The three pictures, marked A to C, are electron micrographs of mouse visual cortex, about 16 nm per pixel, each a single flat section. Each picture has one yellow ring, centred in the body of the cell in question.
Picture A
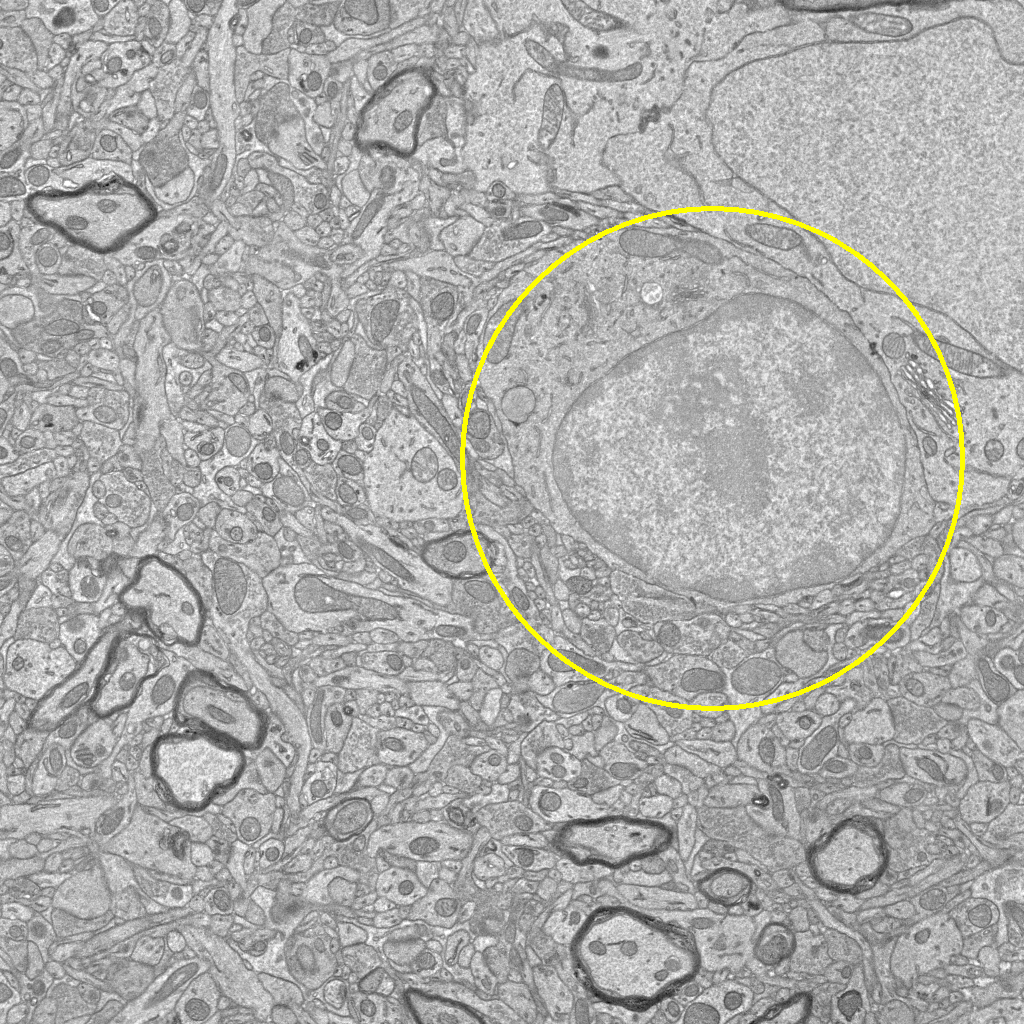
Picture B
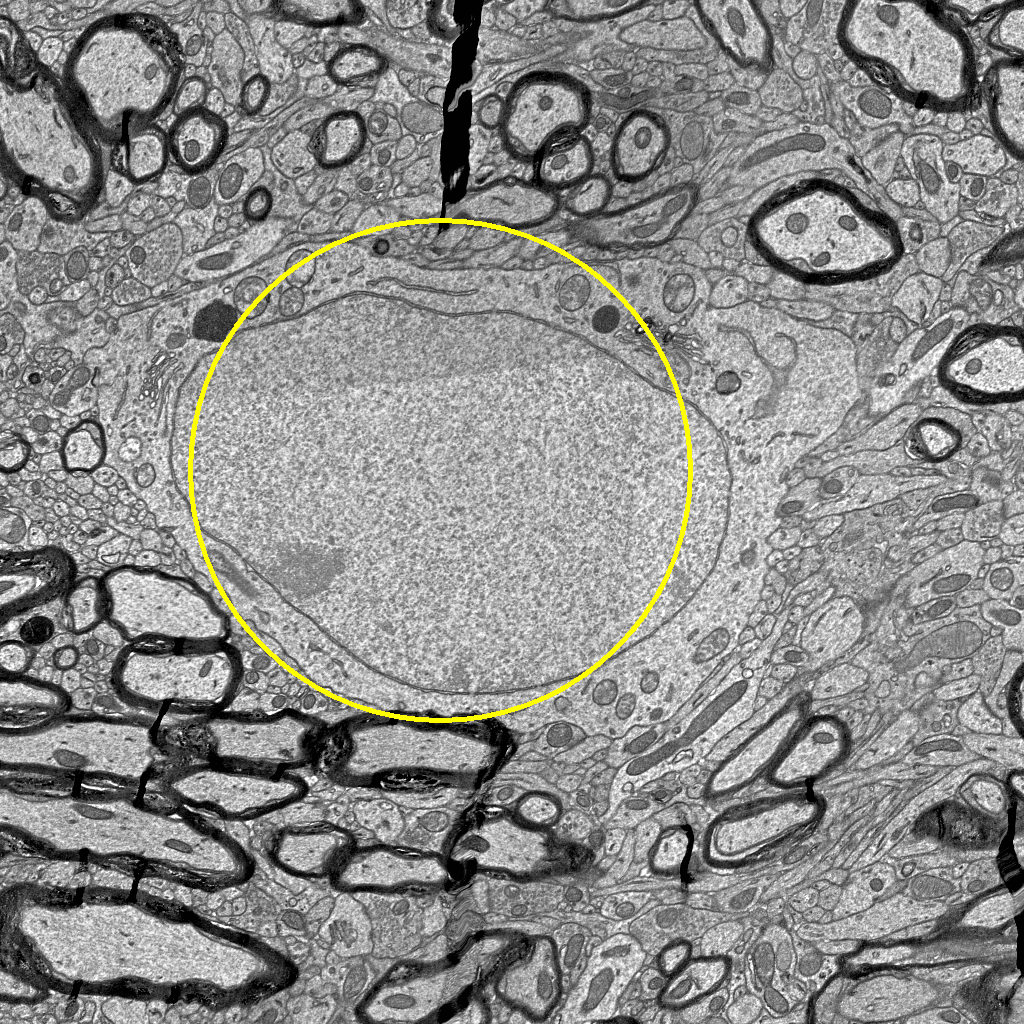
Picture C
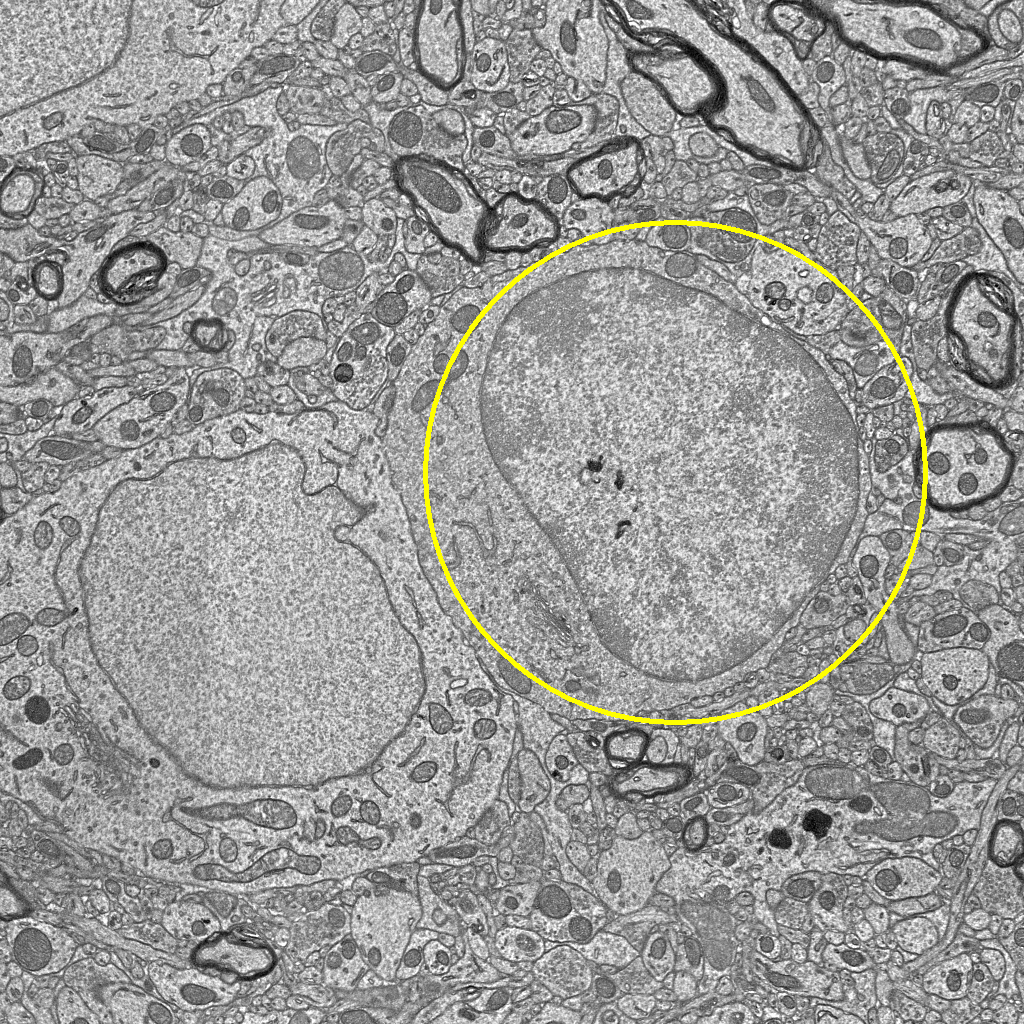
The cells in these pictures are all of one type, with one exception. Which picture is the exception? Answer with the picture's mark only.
B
